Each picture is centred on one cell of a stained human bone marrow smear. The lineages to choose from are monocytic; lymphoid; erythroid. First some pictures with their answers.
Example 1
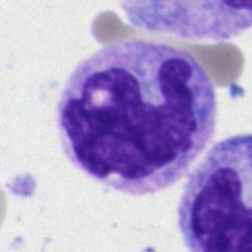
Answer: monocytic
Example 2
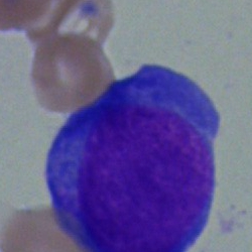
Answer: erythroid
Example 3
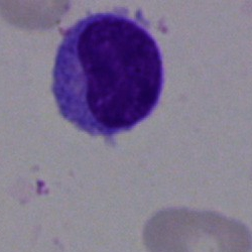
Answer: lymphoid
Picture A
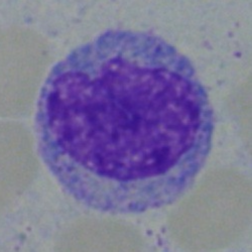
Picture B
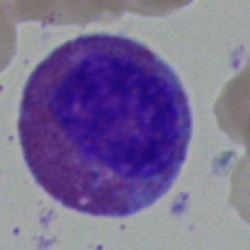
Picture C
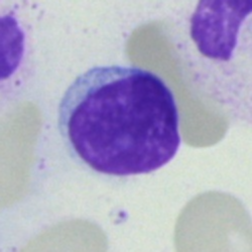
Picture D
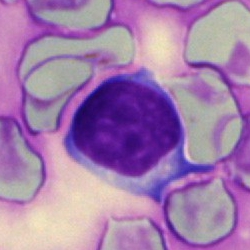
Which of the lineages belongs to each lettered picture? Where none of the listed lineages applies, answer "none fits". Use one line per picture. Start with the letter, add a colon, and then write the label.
A: monocytic
B: none fits
C: lymphoid
D: lymphoid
